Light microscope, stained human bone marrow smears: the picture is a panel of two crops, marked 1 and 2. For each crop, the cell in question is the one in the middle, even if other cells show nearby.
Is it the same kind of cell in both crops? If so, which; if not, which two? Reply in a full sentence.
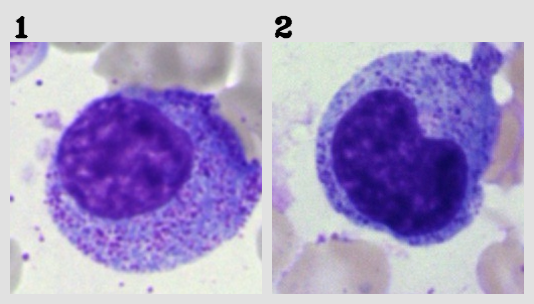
Yes, both crops show promyelocytes, one in each.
